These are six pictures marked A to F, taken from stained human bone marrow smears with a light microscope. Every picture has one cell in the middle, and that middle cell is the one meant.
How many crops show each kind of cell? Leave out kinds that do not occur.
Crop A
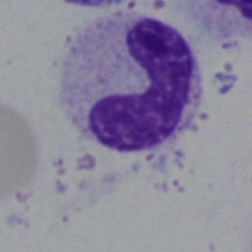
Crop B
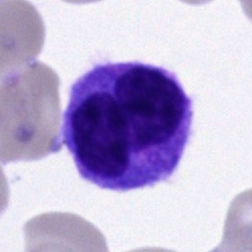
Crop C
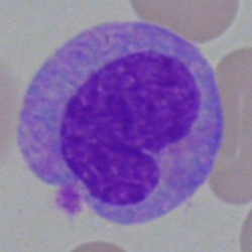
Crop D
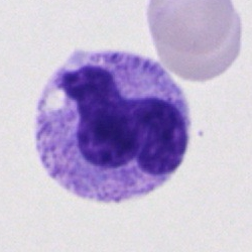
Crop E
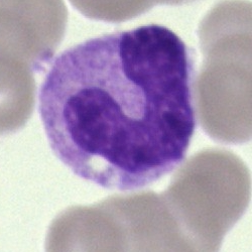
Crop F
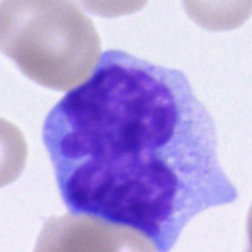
band neutrophil: 3
monocyte: 3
